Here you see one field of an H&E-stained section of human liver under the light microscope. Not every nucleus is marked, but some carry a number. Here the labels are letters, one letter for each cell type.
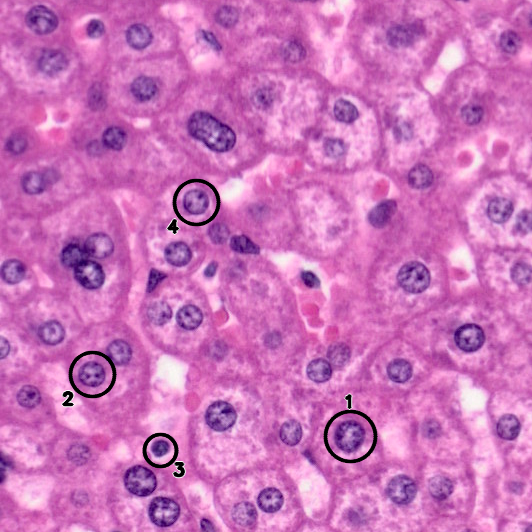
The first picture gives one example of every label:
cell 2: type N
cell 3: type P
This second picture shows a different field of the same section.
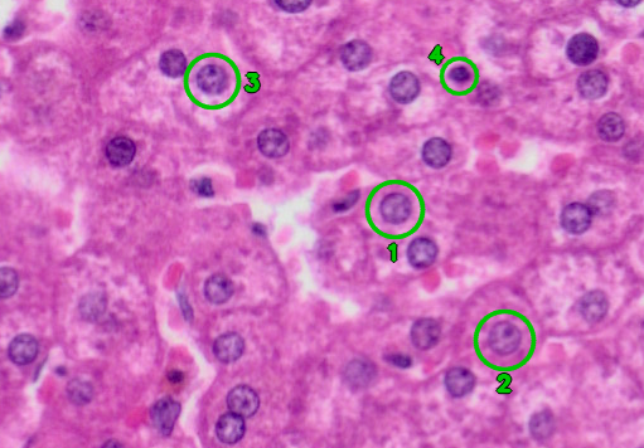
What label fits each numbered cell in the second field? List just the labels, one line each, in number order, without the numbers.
type N
type N
type N
type P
